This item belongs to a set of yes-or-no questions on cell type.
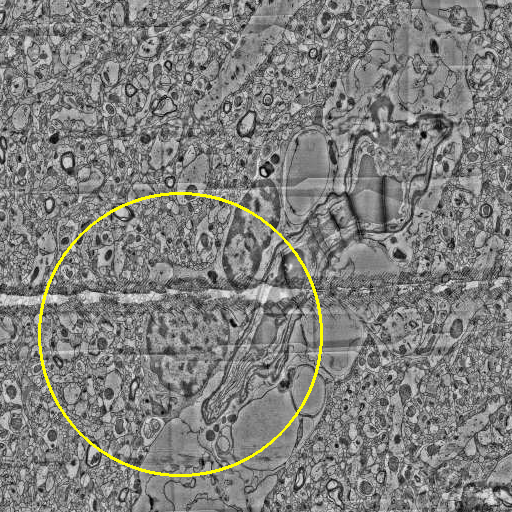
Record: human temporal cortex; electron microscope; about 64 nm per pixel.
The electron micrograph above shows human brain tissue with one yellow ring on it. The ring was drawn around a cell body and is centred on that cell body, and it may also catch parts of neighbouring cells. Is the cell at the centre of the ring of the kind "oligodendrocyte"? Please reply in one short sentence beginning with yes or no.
Yes, that cell is of the named kind.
